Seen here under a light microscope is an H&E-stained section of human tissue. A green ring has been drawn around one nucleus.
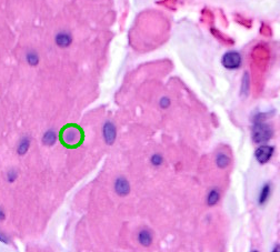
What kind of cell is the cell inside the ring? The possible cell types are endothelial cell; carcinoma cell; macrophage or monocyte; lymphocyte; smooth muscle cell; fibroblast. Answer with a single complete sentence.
Cytologically, the cell inside the ring is to be regarded as a smooth muscle cell.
